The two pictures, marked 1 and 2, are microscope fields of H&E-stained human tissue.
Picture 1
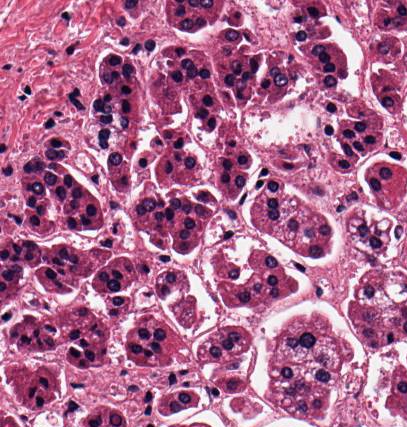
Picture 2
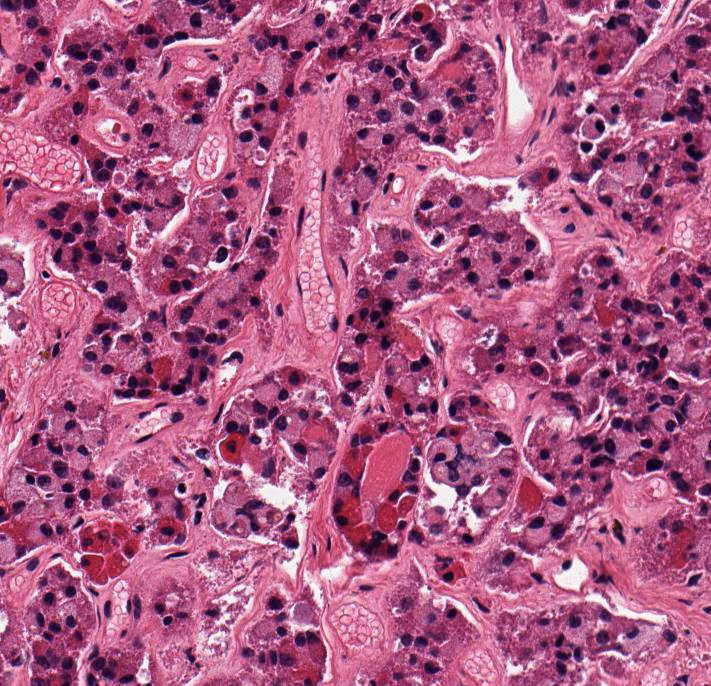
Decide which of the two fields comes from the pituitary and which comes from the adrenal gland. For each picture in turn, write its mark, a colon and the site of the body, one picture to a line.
1: adrenal gland
2: pituitary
